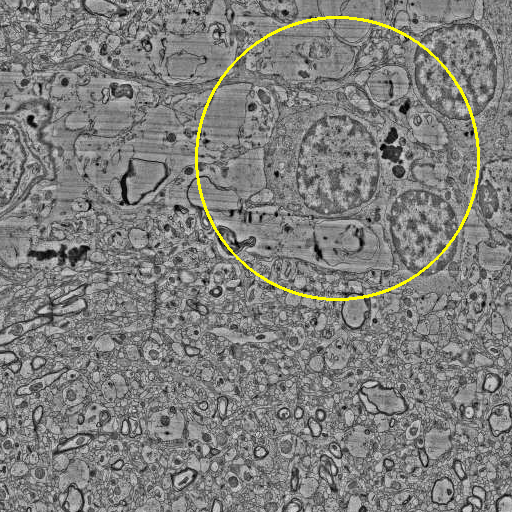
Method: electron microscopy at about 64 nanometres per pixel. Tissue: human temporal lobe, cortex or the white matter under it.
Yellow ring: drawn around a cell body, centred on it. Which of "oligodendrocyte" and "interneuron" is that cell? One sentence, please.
That cell body is from an oligodendrocyte.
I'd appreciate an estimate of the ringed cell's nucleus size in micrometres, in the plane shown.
The nucleus measures about 6 by 5 micrometres in this plane.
